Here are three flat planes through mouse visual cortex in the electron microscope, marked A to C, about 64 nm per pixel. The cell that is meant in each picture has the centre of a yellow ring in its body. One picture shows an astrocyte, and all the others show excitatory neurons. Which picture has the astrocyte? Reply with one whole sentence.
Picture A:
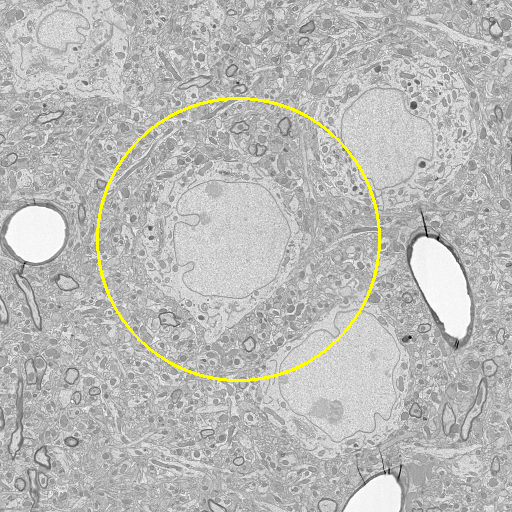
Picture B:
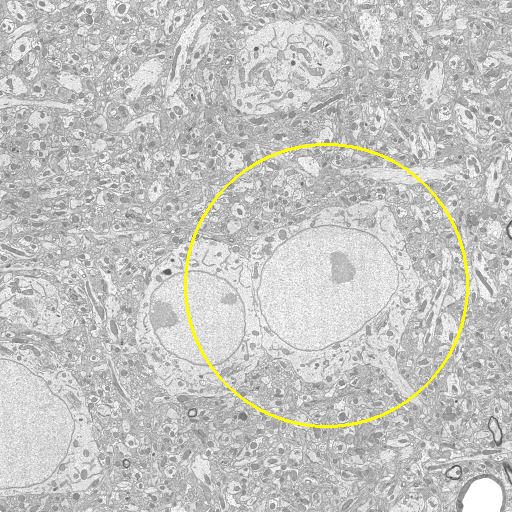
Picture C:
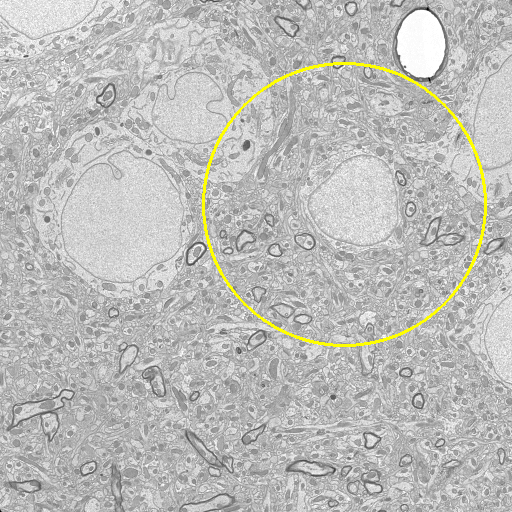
Picture C is the one that shows the astrocyte.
